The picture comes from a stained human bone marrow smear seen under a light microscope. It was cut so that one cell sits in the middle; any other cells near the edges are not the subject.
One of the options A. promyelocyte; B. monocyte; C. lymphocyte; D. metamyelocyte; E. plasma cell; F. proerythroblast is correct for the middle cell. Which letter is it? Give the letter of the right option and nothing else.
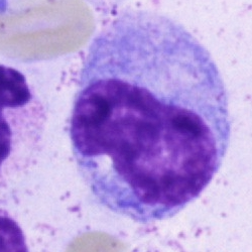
B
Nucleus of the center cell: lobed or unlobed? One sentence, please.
What stands out is a nucleus forming one compact round, oval or kidney-shaped mass.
